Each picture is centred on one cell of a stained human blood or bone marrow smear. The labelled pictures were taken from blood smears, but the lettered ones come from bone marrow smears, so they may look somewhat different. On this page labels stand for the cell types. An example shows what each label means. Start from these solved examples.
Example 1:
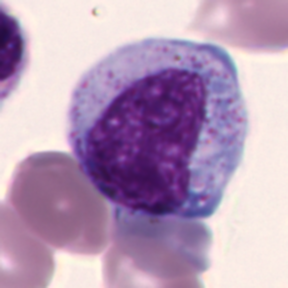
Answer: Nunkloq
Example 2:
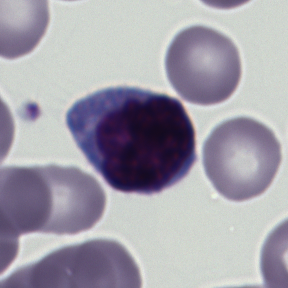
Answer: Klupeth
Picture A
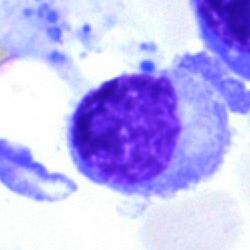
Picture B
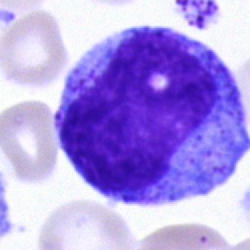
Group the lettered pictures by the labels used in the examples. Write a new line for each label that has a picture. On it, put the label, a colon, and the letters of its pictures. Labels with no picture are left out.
Nunkloq: B
Klupeth: A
